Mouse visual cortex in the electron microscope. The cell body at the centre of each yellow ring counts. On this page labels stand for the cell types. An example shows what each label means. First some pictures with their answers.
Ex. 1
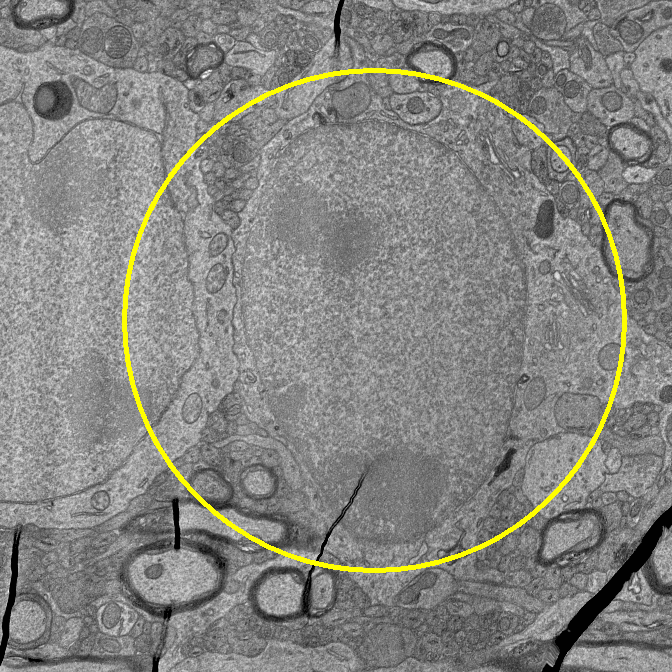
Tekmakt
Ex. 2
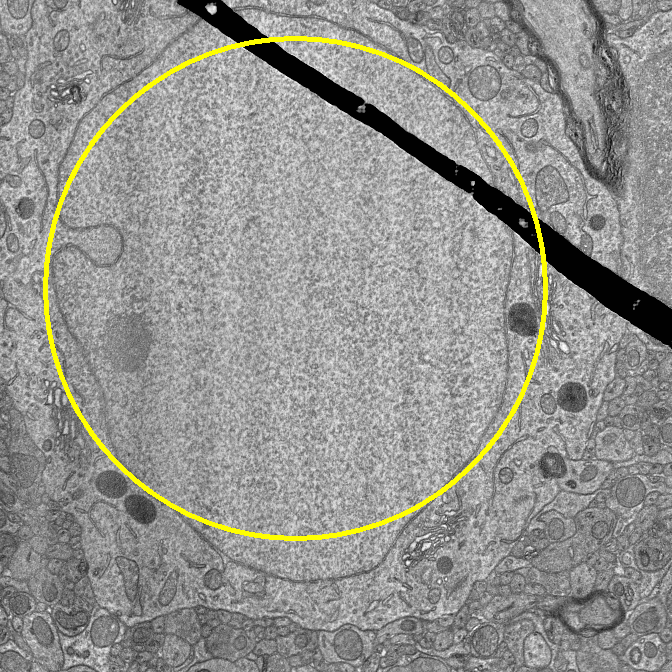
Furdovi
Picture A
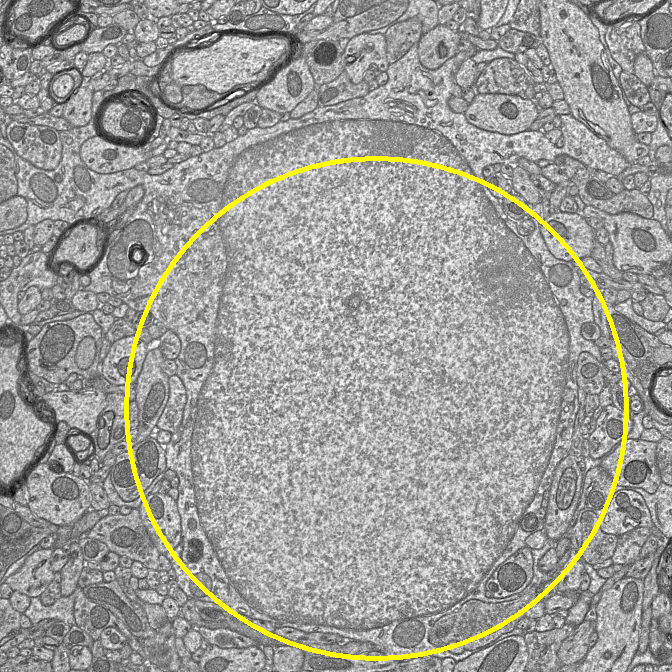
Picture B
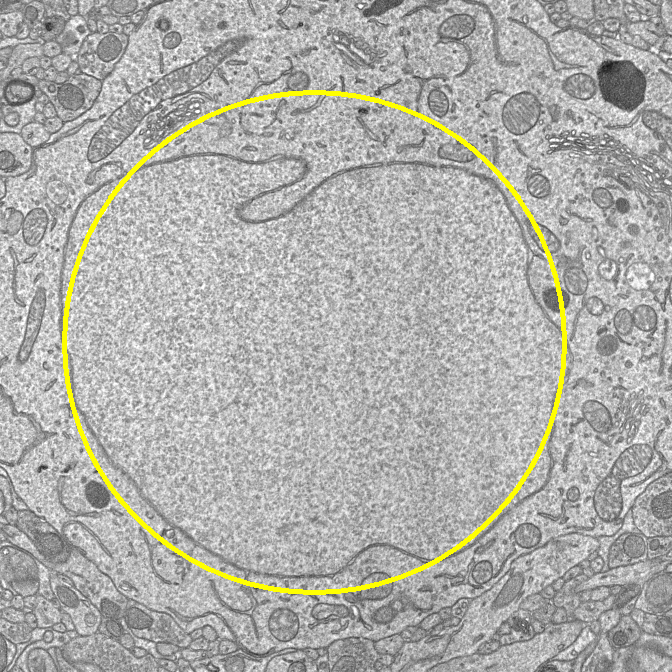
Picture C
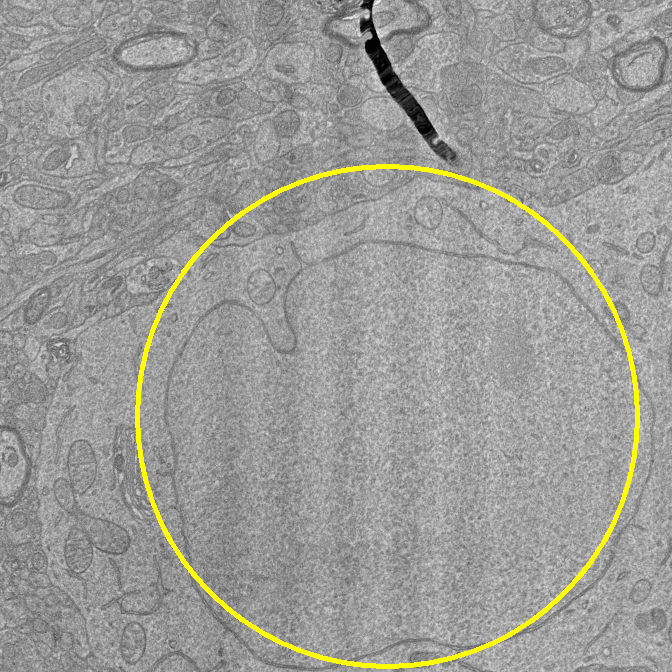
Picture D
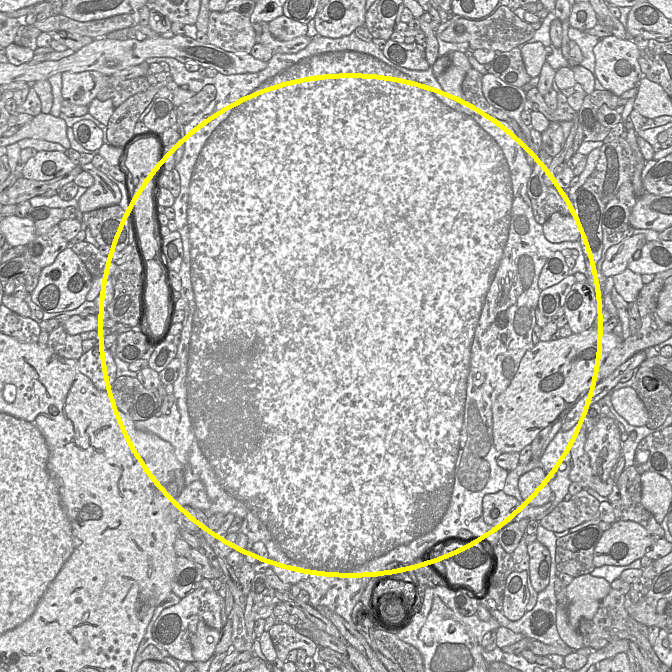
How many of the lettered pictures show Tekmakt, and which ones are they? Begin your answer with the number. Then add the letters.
2, namely A, D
